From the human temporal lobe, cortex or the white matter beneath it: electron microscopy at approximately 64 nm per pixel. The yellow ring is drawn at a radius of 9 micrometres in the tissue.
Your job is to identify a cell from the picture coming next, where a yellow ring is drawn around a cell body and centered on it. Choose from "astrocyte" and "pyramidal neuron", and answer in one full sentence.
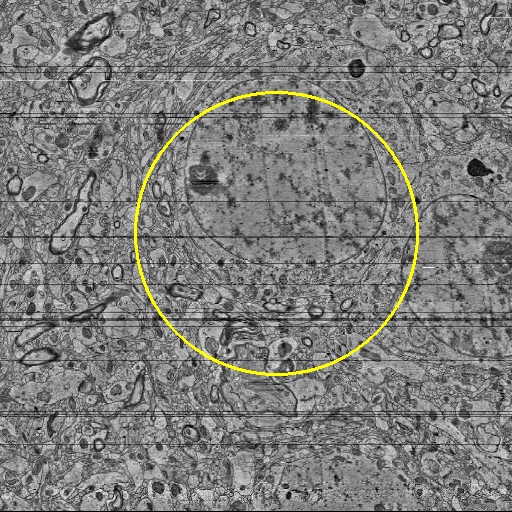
Centered in the yellow ring of the picture is the body of a pyramidal neuron.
